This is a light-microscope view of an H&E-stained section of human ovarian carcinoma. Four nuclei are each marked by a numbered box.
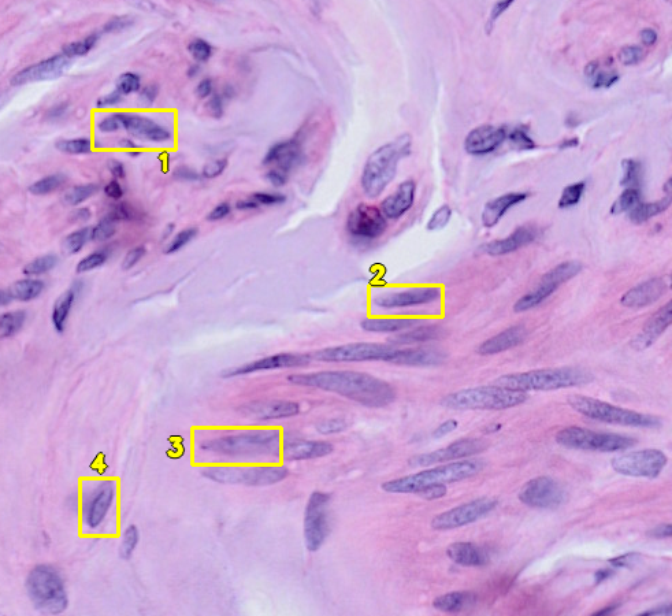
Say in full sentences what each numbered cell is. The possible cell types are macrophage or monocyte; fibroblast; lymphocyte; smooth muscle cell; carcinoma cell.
Cell 1 is a smooth muscle cell, cell 2 is a smooth muscle cell, cell 3 is a smooth muscle cell and cell 4 is a fibroblast.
